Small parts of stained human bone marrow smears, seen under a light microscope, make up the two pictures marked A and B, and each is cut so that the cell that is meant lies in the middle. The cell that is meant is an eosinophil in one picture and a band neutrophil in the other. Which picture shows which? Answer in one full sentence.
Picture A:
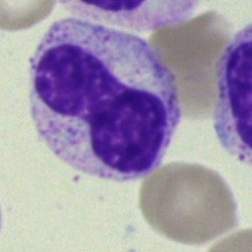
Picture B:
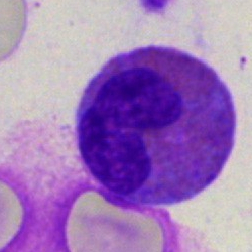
In picture A the cell is a band neutrophil; in picture B, an eosinophil.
